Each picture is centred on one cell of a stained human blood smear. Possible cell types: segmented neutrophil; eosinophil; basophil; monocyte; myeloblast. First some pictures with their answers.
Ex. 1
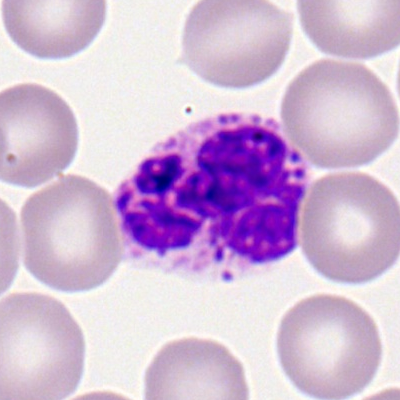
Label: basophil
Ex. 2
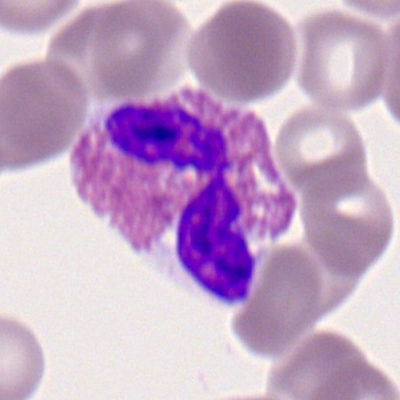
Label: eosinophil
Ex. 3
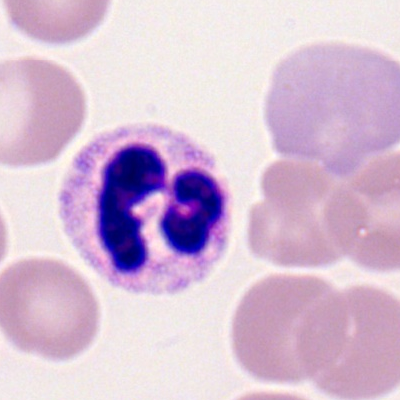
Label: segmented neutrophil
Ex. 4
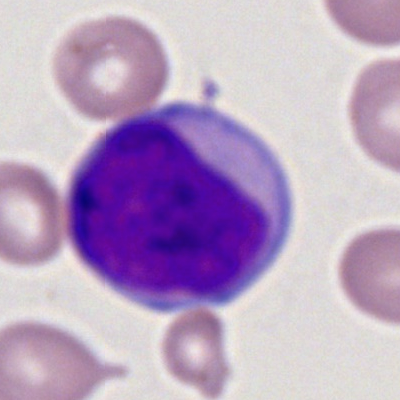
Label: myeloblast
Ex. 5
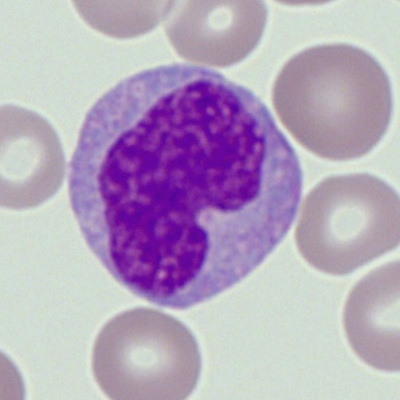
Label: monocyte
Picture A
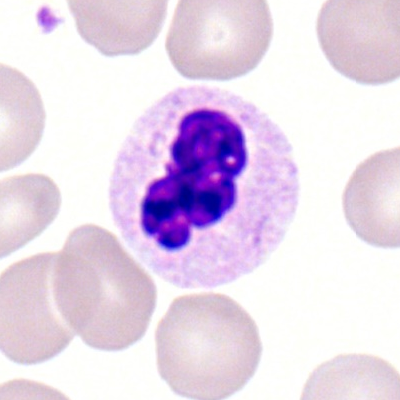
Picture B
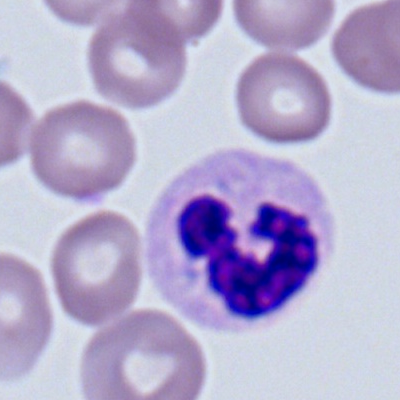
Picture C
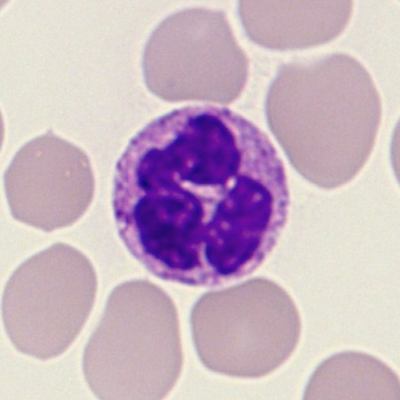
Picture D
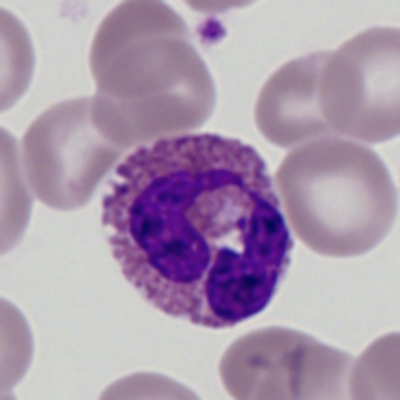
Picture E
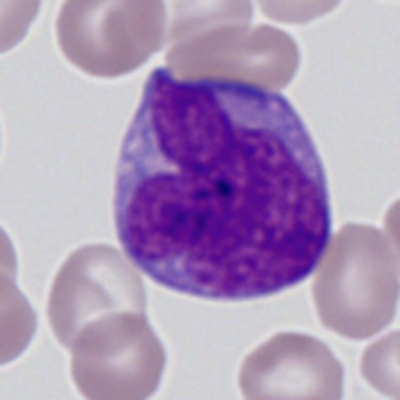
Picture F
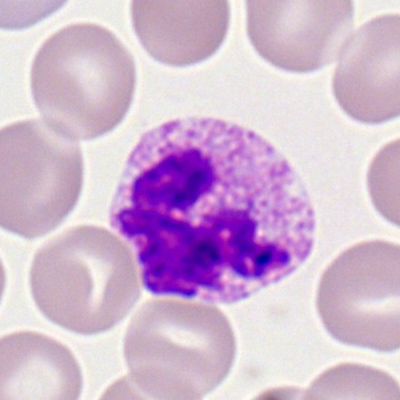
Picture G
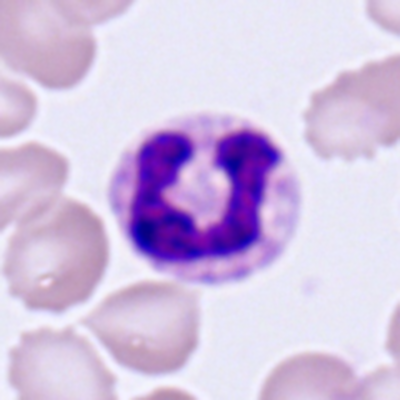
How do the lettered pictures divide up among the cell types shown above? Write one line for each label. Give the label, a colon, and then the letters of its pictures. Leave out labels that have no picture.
segmented neutrophil: A, B, G
eosinophil: D
basophil: C, F
myeloblast: E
